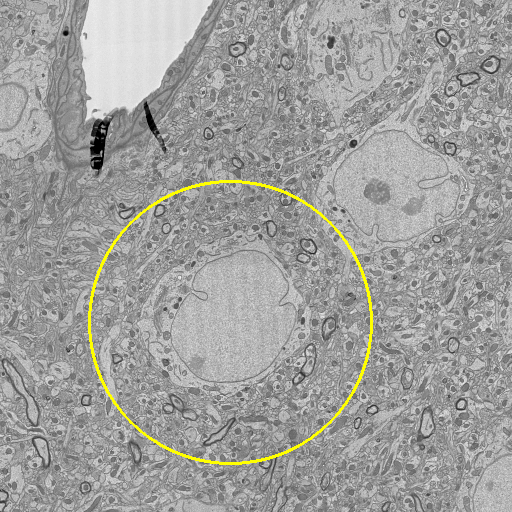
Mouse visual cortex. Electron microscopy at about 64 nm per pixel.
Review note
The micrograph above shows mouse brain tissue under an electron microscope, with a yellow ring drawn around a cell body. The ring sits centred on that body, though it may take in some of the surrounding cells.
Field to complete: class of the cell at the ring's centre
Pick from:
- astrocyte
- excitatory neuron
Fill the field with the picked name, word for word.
excitatory neuron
